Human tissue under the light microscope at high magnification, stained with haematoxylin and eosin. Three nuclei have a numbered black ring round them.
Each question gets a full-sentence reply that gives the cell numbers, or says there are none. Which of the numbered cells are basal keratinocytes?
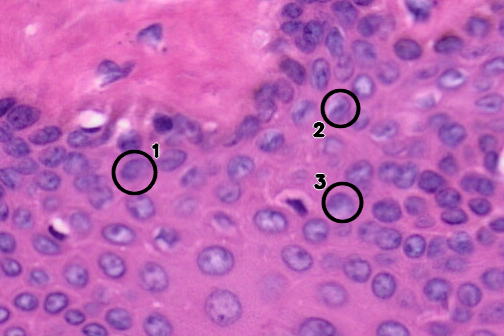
No marked cell except number 1 is a basal keratinocyte.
